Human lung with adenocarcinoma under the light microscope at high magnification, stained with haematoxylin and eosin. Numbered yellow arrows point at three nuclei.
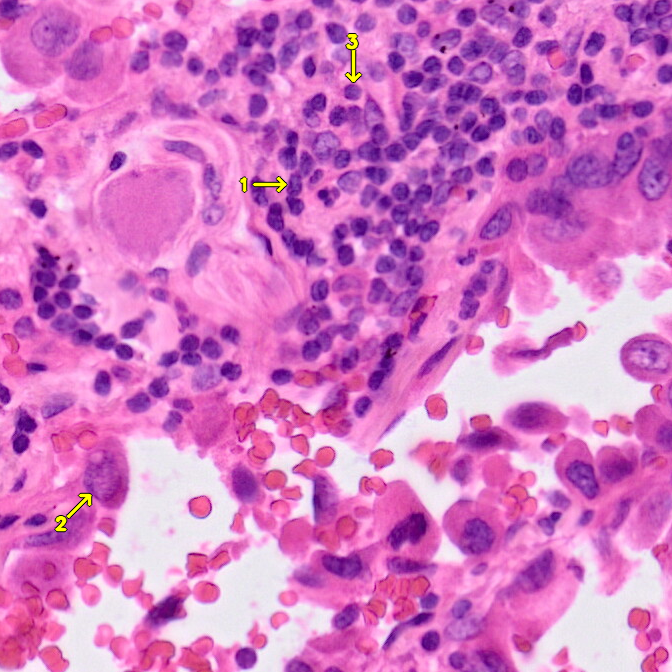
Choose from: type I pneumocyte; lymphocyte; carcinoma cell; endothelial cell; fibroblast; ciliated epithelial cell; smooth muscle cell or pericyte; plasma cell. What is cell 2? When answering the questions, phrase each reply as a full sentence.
The cell that goes by number 2 is a carcinoma cell.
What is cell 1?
Regarding cell 1, this one is a lymphocyte.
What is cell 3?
Cell 3, among those numbered, is a lymphocyte.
